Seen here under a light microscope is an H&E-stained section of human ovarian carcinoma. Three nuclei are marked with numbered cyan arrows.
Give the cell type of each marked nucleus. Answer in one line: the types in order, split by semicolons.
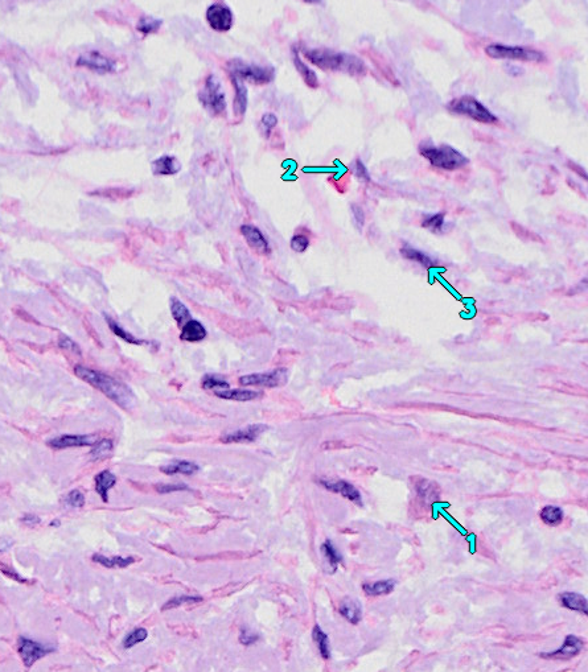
fibroblast; endothelial cell; fibroblast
